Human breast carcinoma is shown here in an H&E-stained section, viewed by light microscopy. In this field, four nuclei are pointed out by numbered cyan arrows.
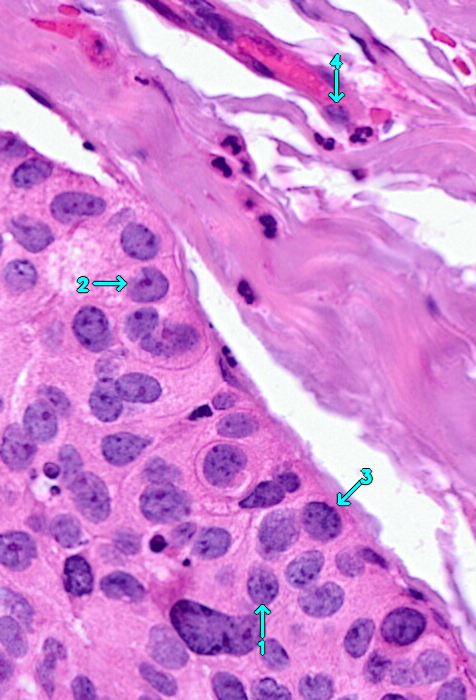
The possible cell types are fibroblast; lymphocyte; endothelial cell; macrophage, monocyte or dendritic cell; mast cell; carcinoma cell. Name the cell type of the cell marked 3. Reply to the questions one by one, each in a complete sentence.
The cell numbered 3 has been identified as a carcinoma cell.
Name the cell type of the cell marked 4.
At number 4, the marked cell is an endothelial cell.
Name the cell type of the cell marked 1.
The cell that goes by number 1 is a carcinoma cell.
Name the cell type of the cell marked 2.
The cell whose nucleus carries the number 2 is a carcinoma cell.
